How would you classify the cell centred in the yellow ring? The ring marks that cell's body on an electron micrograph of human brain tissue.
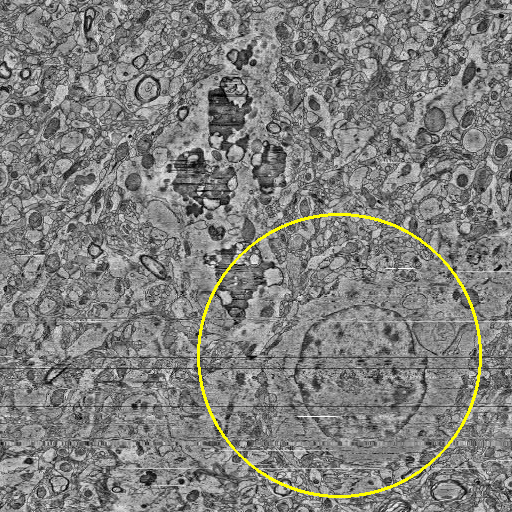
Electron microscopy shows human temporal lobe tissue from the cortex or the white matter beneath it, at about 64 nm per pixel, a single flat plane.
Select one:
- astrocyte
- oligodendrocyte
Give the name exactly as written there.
astrocyte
